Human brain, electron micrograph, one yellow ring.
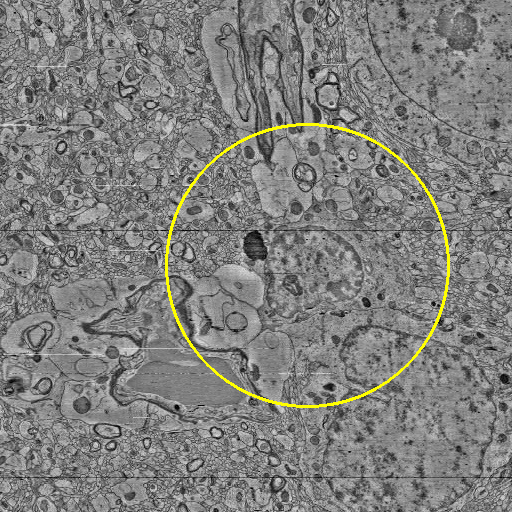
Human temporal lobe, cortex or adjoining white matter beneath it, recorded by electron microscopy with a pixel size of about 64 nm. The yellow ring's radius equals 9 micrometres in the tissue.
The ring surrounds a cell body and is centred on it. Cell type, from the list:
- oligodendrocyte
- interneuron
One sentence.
The yellow ring circles an oligodendrocyte.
